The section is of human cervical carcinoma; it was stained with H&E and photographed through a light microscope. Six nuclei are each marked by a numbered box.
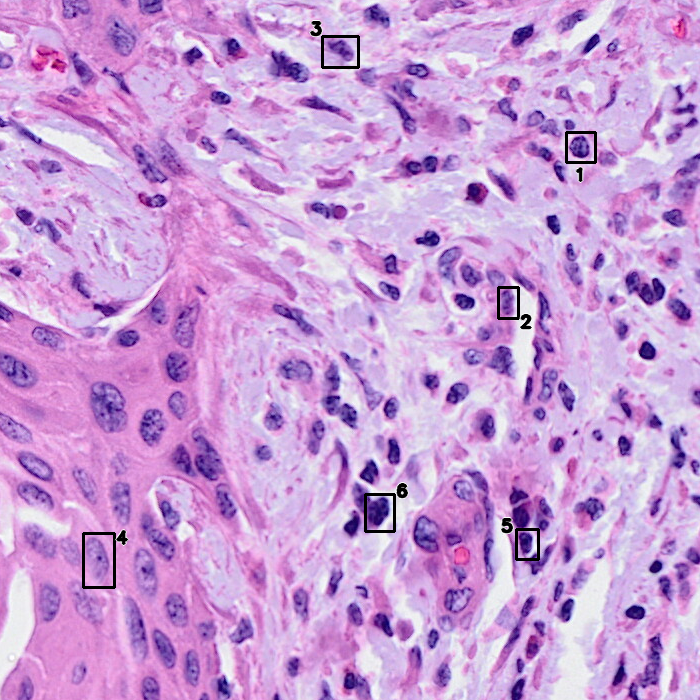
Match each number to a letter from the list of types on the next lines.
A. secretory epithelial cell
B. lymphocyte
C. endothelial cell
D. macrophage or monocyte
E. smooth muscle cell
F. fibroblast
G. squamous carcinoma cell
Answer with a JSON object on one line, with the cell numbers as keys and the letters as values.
{"1": "B", "2": "C", "3": "D", "4": "G", "5": "B", "6": "B"}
